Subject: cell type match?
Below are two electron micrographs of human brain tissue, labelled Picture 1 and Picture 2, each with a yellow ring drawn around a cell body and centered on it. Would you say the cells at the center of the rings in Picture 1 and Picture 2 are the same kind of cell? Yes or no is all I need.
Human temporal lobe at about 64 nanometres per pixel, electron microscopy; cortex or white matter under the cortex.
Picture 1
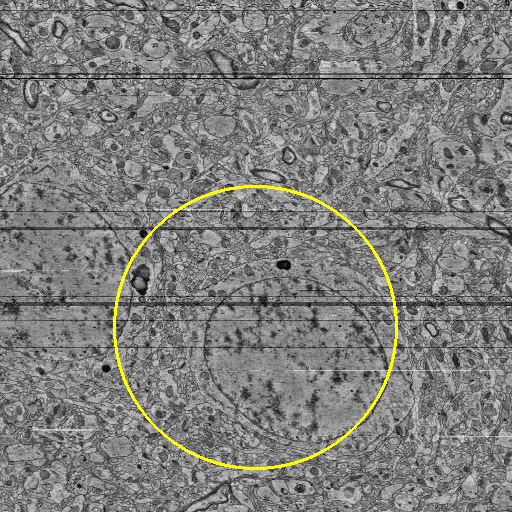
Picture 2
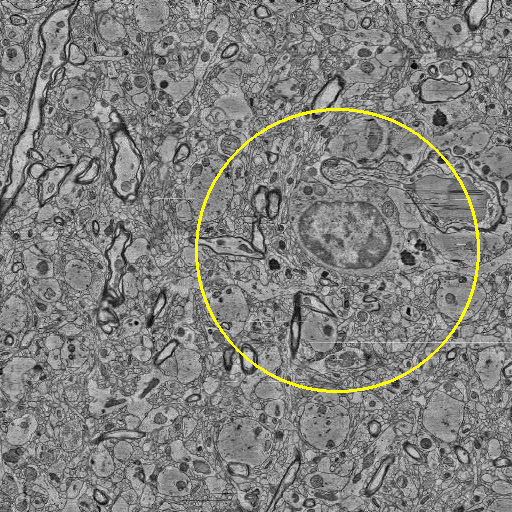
no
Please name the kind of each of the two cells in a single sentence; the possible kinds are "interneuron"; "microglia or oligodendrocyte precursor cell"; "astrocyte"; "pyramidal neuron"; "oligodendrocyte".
In the first picture the ring is centred on a pyramidal neuron, and in the second on an oligodendrocyte.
